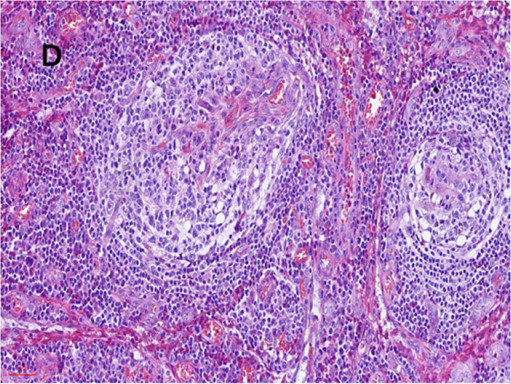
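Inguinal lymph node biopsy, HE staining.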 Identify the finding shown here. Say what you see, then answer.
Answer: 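Small lymphocytes are arranged in concentric rings around pale follicle centres. Vessels run into the pale centres. So: onion-skinning mantle zones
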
